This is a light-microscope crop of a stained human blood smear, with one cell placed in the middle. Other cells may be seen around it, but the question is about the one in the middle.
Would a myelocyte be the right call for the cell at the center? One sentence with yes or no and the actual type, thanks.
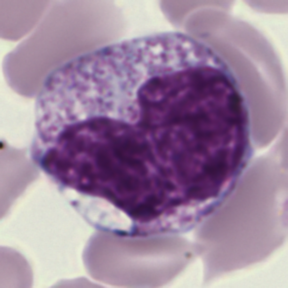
Yes, the cell lying in the centre of the crop is identified as a myelocyte.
